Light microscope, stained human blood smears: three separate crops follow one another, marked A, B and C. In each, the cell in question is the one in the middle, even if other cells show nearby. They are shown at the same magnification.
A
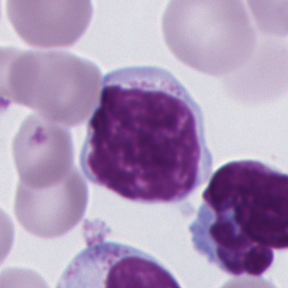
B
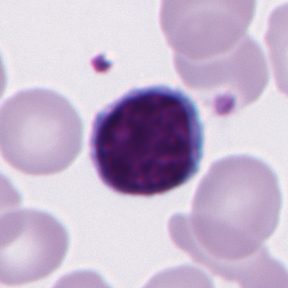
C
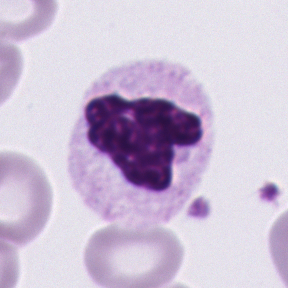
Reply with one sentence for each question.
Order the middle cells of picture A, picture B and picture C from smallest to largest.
Smallest first: B, A, C.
